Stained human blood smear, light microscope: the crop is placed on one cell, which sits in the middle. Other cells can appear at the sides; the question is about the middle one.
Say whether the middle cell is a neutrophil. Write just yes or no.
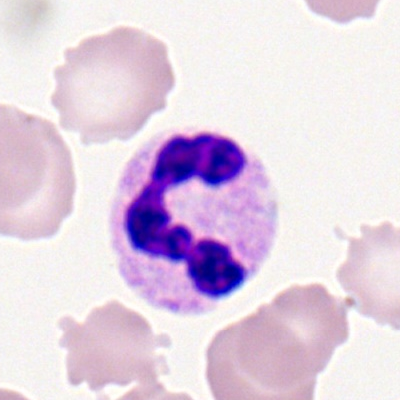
yes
